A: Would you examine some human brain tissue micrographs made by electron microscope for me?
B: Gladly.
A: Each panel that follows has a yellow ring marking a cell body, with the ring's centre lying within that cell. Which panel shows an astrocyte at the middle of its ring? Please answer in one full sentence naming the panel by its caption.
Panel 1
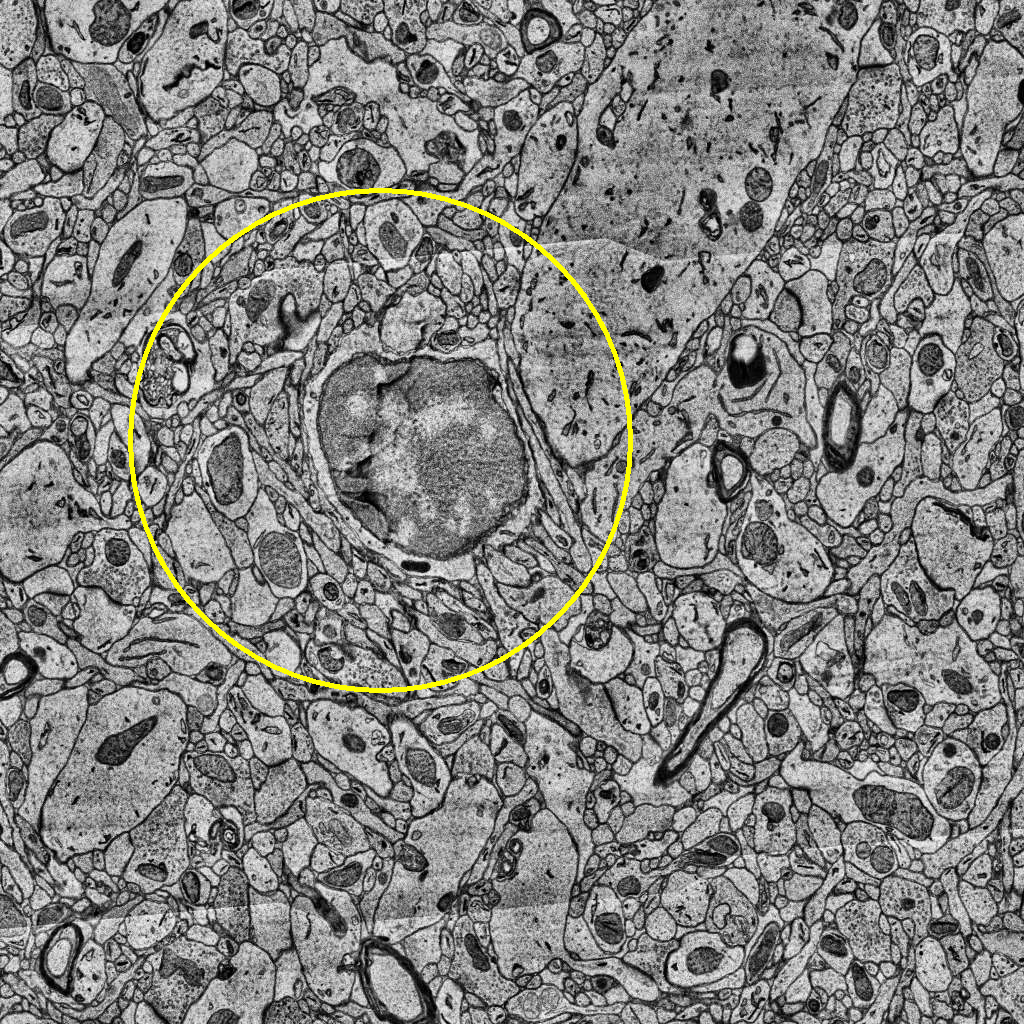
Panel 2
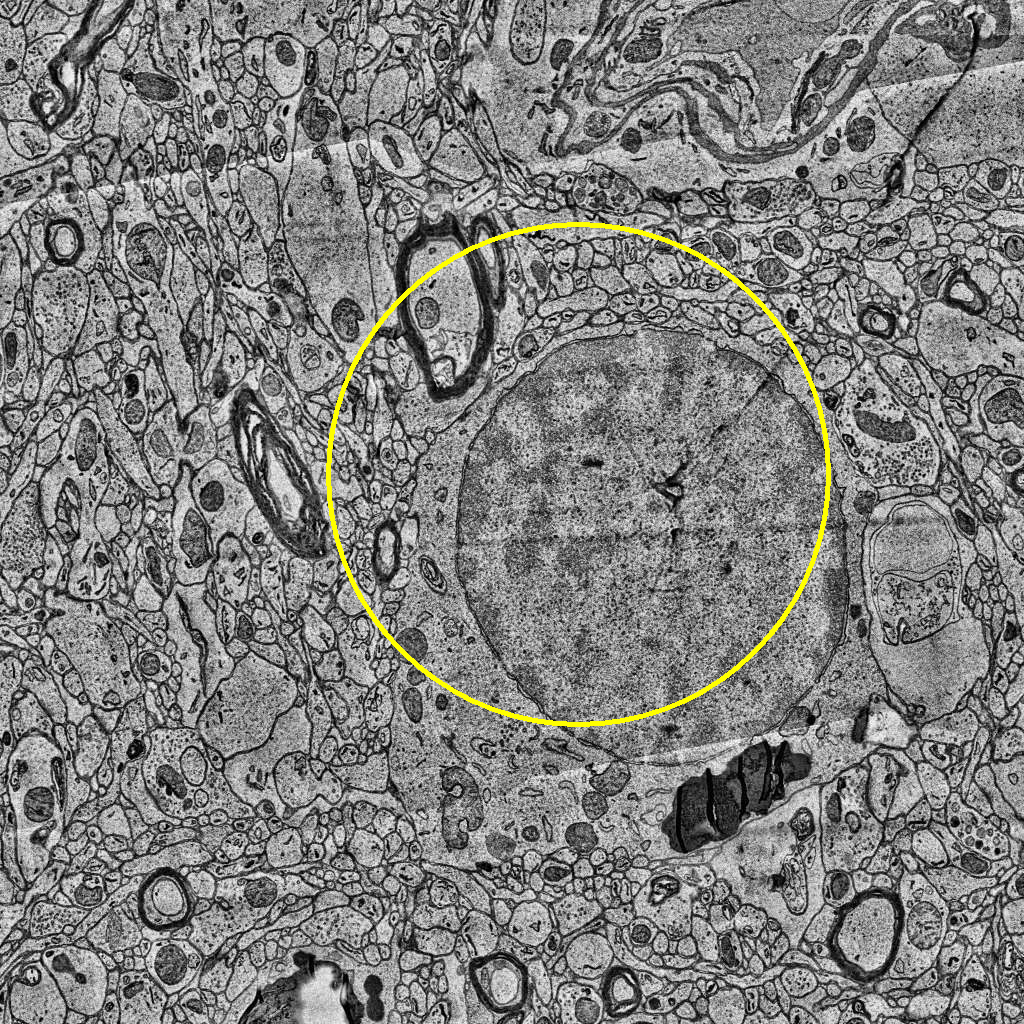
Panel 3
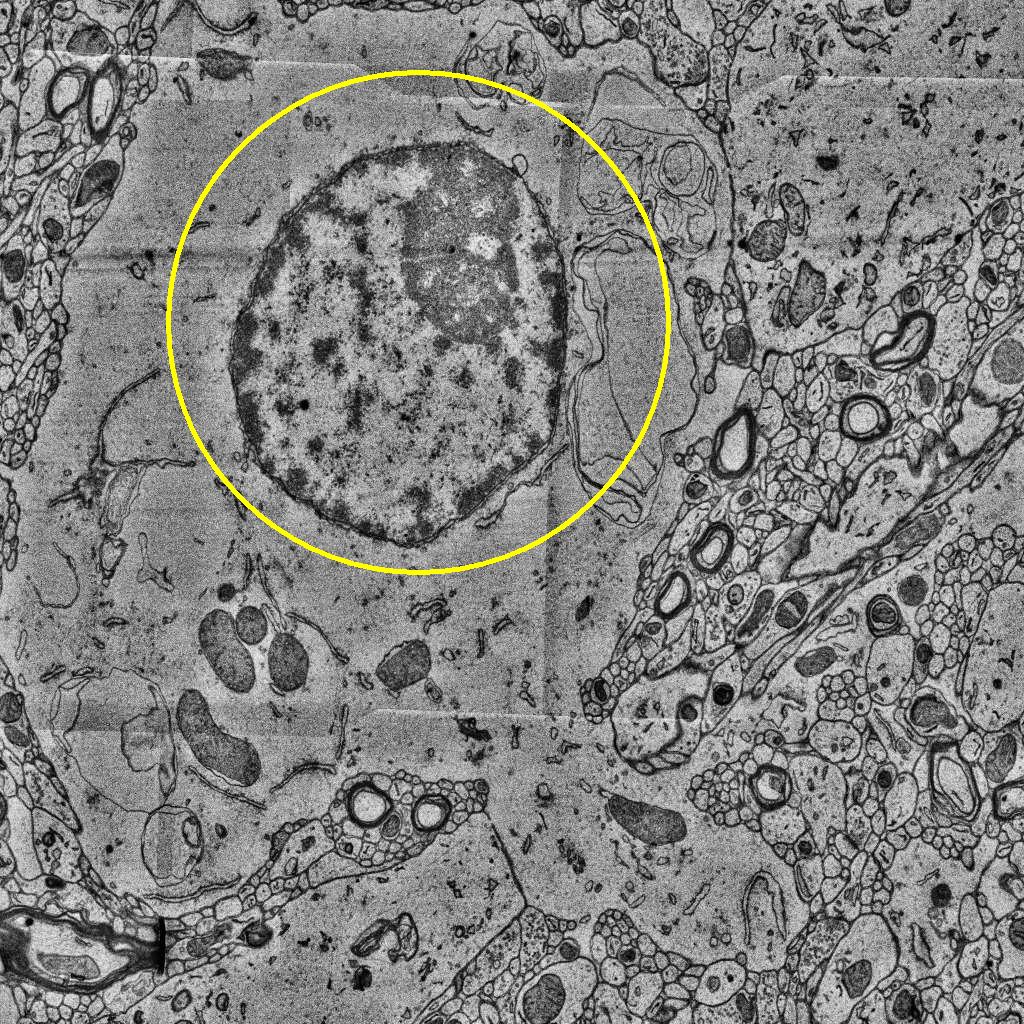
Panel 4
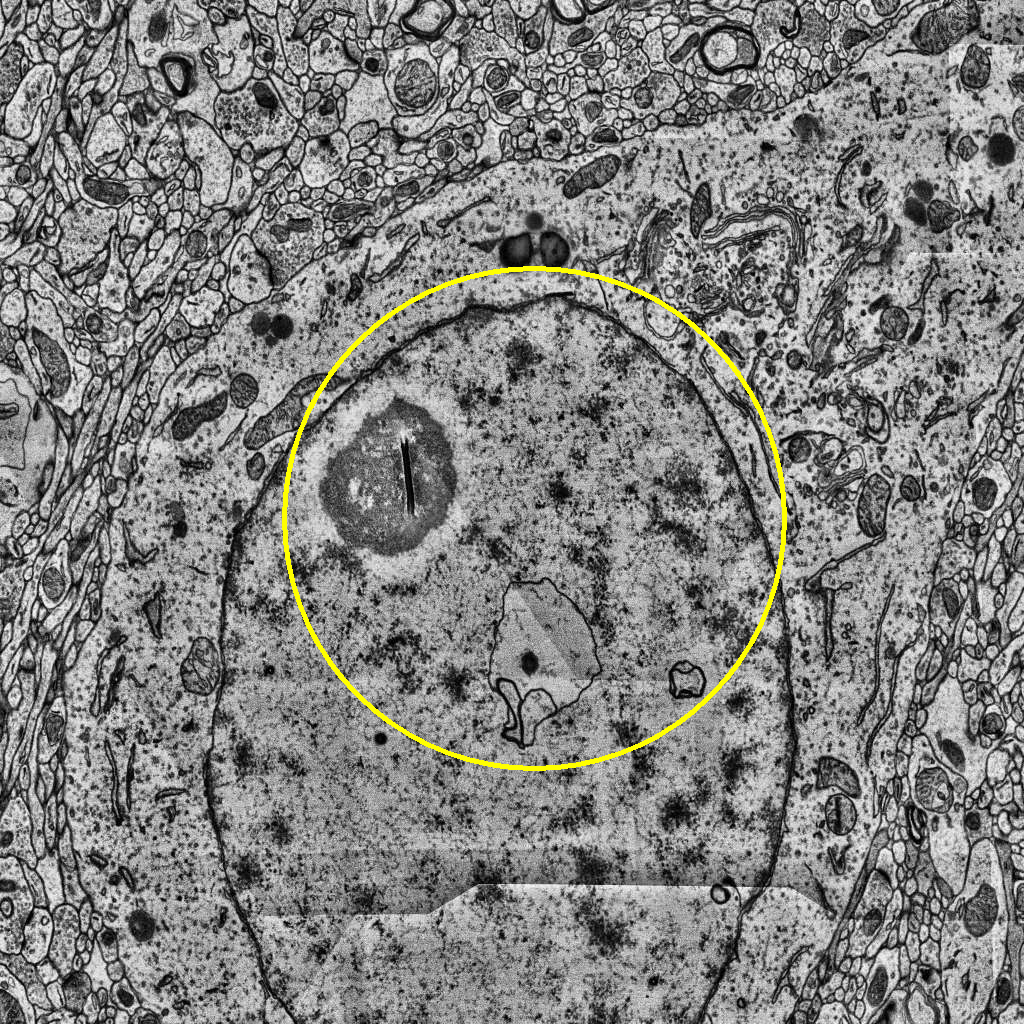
Panel 3 is where the ring's centre lies within the requested cell.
